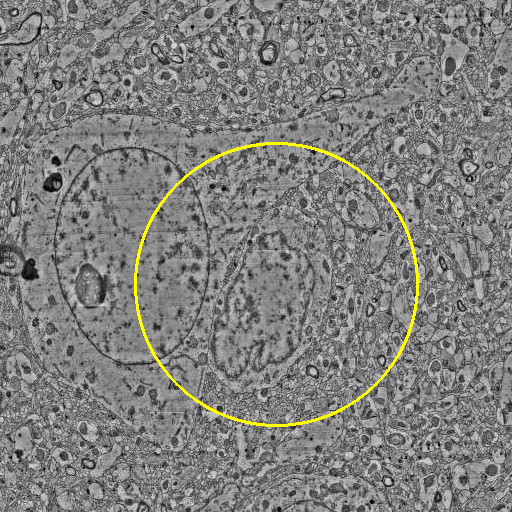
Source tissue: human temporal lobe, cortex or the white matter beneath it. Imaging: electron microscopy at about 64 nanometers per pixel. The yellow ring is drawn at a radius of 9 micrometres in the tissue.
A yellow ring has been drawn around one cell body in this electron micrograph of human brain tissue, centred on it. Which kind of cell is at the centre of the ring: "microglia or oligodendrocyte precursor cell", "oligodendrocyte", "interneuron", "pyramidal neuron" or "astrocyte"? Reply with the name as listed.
interneuron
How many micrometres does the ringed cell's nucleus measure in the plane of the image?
About 10 by 5 micrometers for the nucleus, in this plane.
